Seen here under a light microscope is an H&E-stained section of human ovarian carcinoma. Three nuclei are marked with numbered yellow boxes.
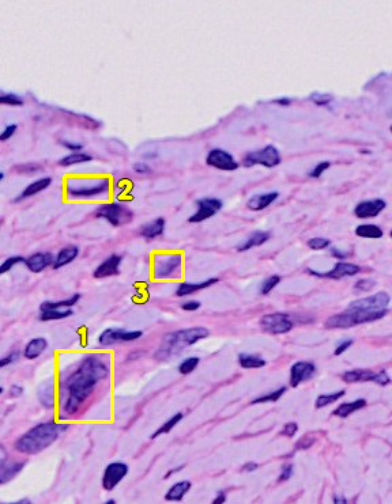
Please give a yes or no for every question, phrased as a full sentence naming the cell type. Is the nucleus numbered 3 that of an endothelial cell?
No, what is marked as number 3 is a fibroblast rather than an endothelial cell.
